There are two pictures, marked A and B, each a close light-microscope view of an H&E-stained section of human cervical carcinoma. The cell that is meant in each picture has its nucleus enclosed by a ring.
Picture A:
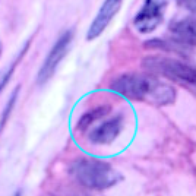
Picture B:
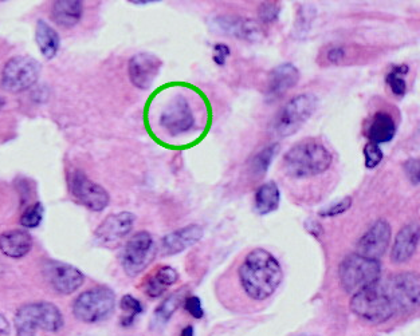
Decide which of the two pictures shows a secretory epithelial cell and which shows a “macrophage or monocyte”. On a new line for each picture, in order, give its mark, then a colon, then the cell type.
A: secretory epithelial cell
B: macrophage or monocyte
